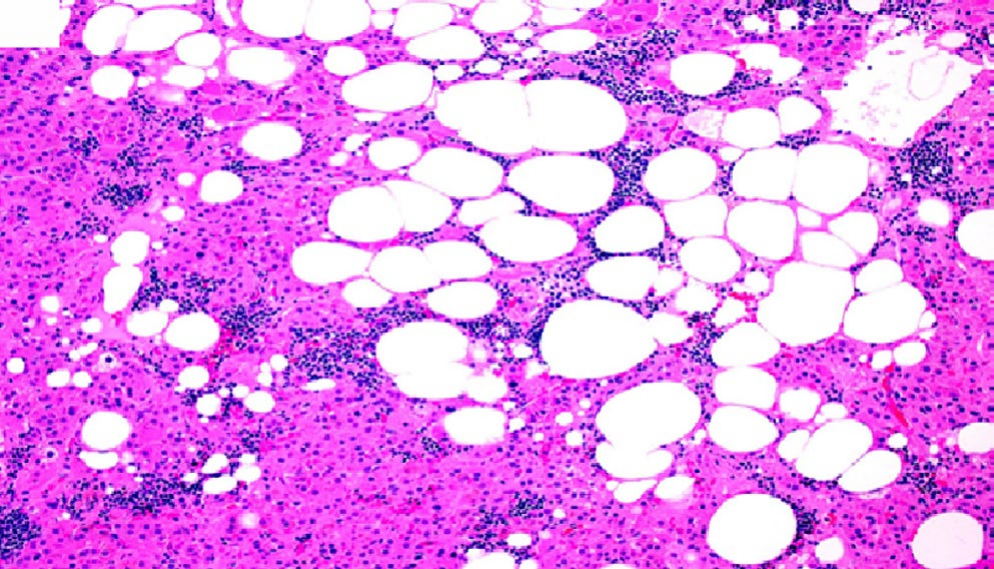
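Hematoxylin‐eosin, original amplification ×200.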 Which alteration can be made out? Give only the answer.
Fatty infiltrate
